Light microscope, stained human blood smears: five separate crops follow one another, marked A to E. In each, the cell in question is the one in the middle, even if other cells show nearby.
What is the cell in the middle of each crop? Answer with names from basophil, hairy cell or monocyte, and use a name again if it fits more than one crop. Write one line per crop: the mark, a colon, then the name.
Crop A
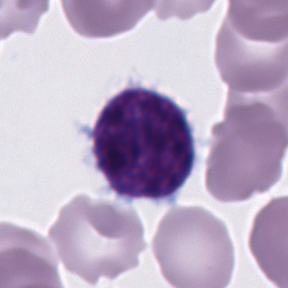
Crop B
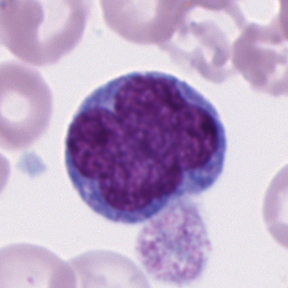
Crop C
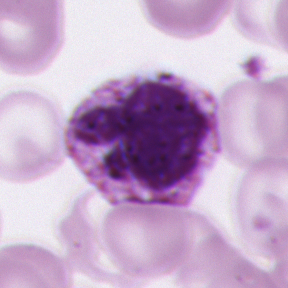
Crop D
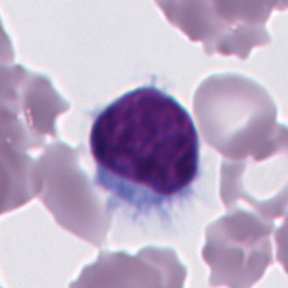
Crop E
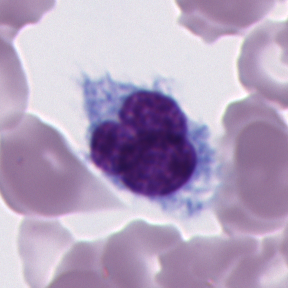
A: hairy cell
B: monocyte
C: basophil
D: hairy cell
E: hairy cell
